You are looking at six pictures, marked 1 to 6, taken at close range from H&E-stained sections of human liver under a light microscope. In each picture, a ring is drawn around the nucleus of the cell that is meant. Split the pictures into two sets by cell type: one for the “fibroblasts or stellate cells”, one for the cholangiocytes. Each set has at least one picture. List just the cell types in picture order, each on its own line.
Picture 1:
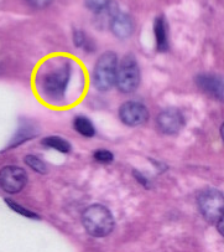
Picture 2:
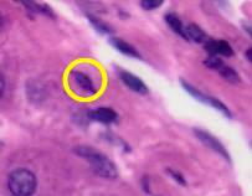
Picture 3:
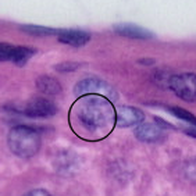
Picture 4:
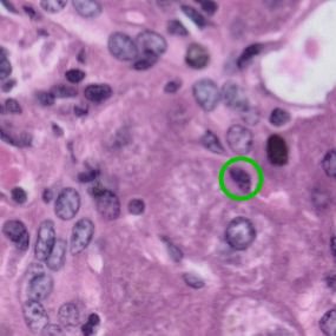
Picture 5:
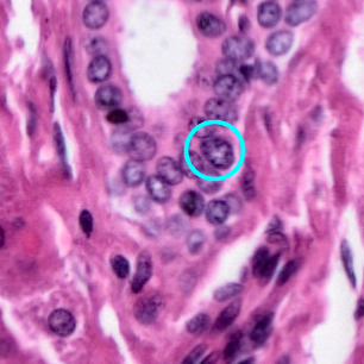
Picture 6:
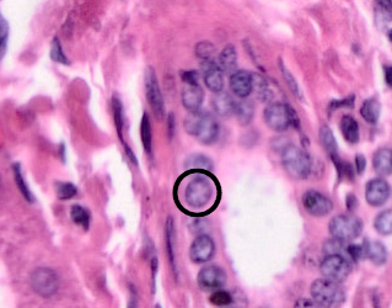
fibroblast or stellate cell
fibroblast or stellate cell
cholangiocyte
fibroblast or stellate cell
cholangiocyte
cholangiocyte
